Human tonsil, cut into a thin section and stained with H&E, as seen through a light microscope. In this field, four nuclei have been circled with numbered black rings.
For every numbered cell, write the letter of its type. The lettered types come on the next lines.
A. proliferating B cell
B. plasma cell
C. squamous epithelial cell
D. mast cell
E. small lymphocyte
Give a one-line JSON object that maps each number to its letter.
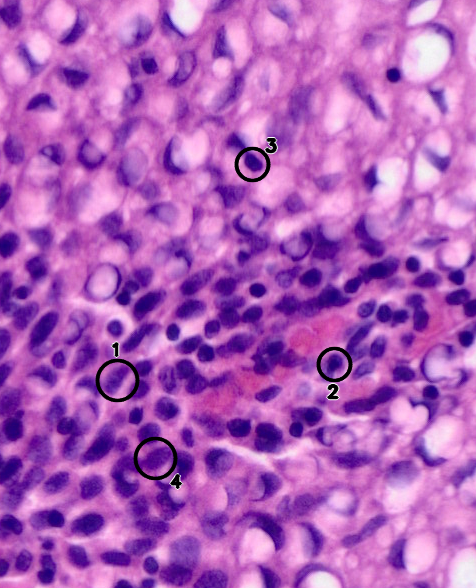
{"1": "C", "2": "B", "3": "C", "4": "C"}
